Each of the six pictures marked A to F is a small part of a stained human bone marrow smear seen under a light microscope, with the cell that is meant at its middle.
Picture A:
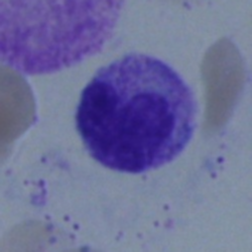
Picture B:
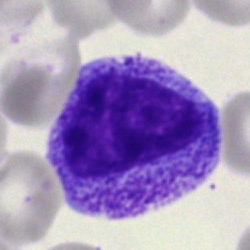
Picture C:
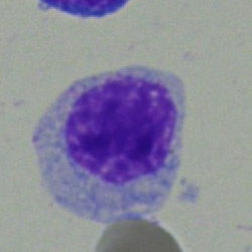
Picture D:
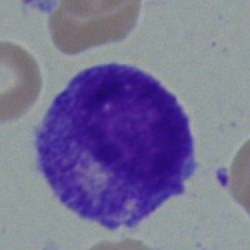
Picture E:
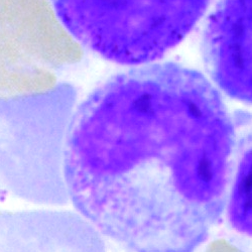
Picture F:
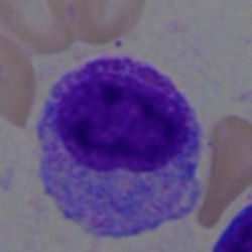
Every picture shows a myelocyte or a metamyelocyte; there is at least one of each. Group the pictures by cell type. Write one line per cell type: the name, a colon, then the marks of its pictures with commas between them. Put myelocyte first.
myelocyte: B, C, D, F
metamyelocyte: A, E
